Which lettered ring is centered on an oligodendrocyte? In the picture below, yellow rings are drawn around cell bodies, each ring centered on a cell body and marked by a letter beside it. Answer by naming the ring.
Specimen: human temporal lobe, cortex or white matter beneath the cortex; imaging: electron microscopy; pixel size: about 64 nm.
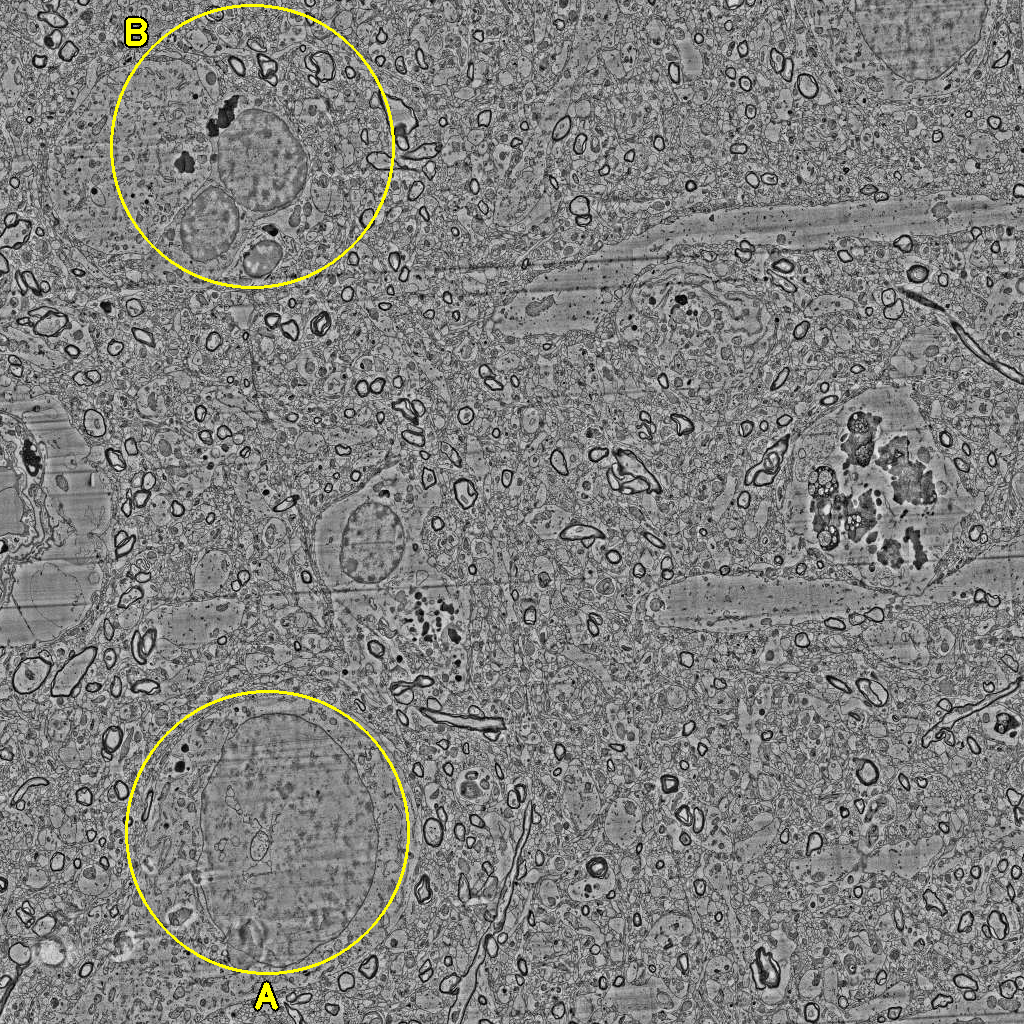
Ring B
